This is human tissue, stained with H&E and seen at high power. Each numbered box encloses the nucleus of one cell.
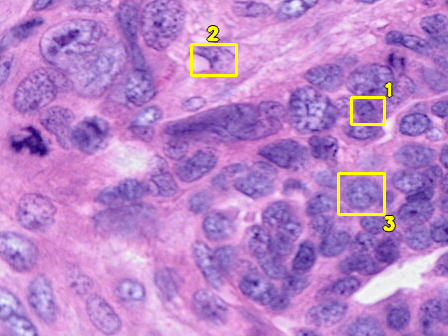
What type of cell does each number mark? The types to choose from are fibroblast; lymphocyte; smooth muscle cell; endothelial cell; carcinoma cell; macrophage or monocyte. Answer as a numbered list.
1. carcinoma cell
2. fibroblast
3. carcinoma cell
